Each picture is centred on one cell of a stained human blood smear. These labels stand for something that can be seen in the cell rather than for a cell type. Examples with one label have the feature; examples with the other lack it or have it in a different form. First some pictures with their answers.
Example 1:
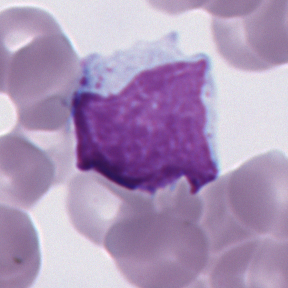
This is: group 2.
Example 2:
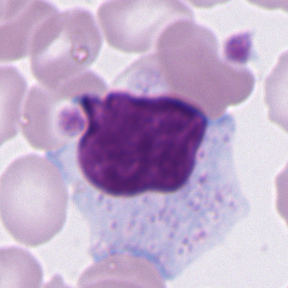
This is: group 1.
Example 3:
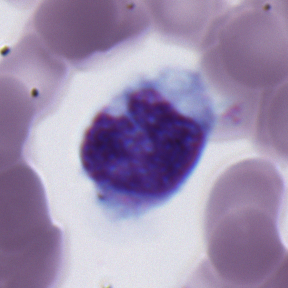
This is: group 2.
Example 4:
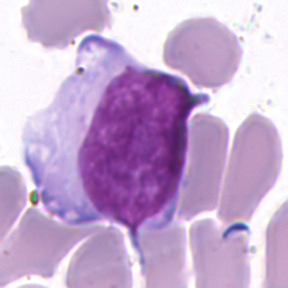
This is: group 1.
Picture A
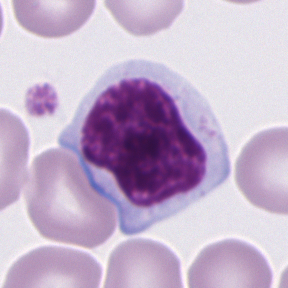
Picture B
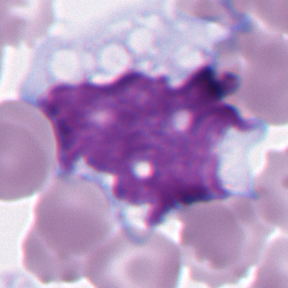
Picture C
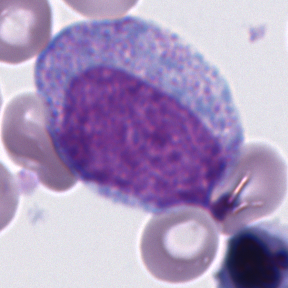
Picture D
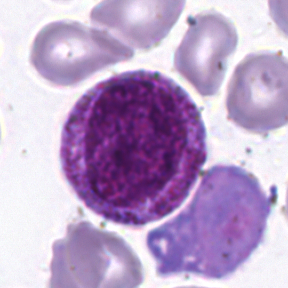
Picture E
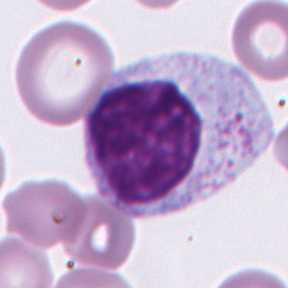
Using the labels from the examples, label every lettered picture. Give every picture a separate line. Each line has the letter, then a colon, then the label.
A: group 1.
B: group 2.
C: group 1.
D: group 2.
E: group 1.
